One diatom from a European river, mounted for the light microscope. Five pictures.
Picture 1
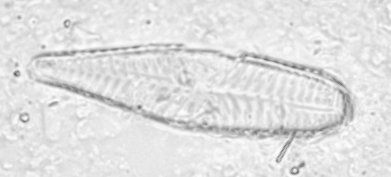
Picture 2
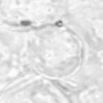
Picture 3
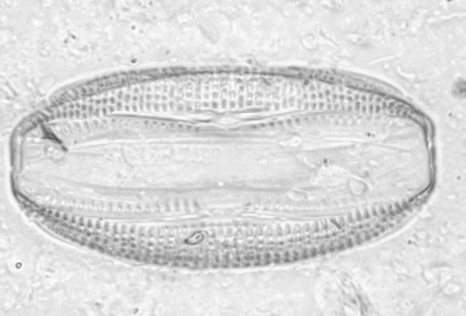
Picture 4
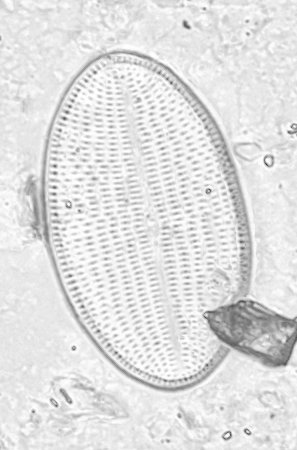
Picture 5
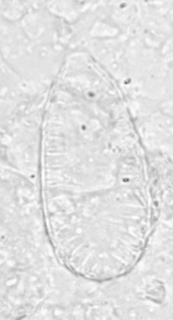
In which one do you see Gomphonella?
In picture 1.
